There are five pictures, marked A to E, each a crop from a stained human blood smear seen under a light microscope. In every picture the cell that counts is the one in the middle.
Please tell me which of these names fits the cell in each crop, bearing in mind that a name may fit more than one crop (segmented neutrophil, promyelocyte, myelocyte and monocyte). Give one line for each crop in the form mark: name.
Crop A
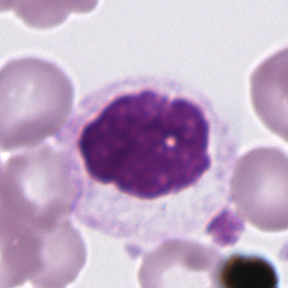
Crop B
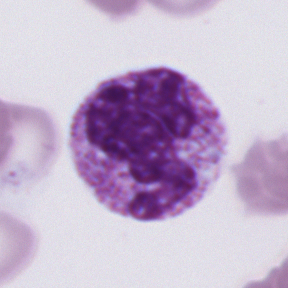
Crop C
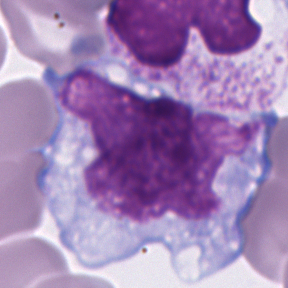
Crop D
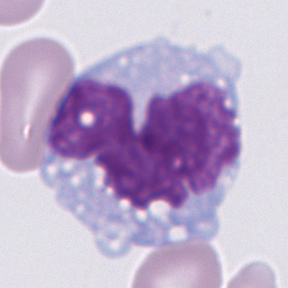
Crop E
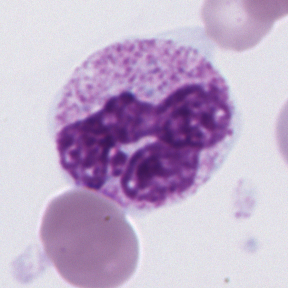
A: segmented neutrophil
B: segmented neutrophil
C: monocyte
D: monocyte
E: segmented neutrophil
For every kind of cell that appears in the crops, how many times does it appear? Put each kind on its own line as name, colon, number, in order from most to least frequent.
segmented neutrophil: 3
monocyte: 2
